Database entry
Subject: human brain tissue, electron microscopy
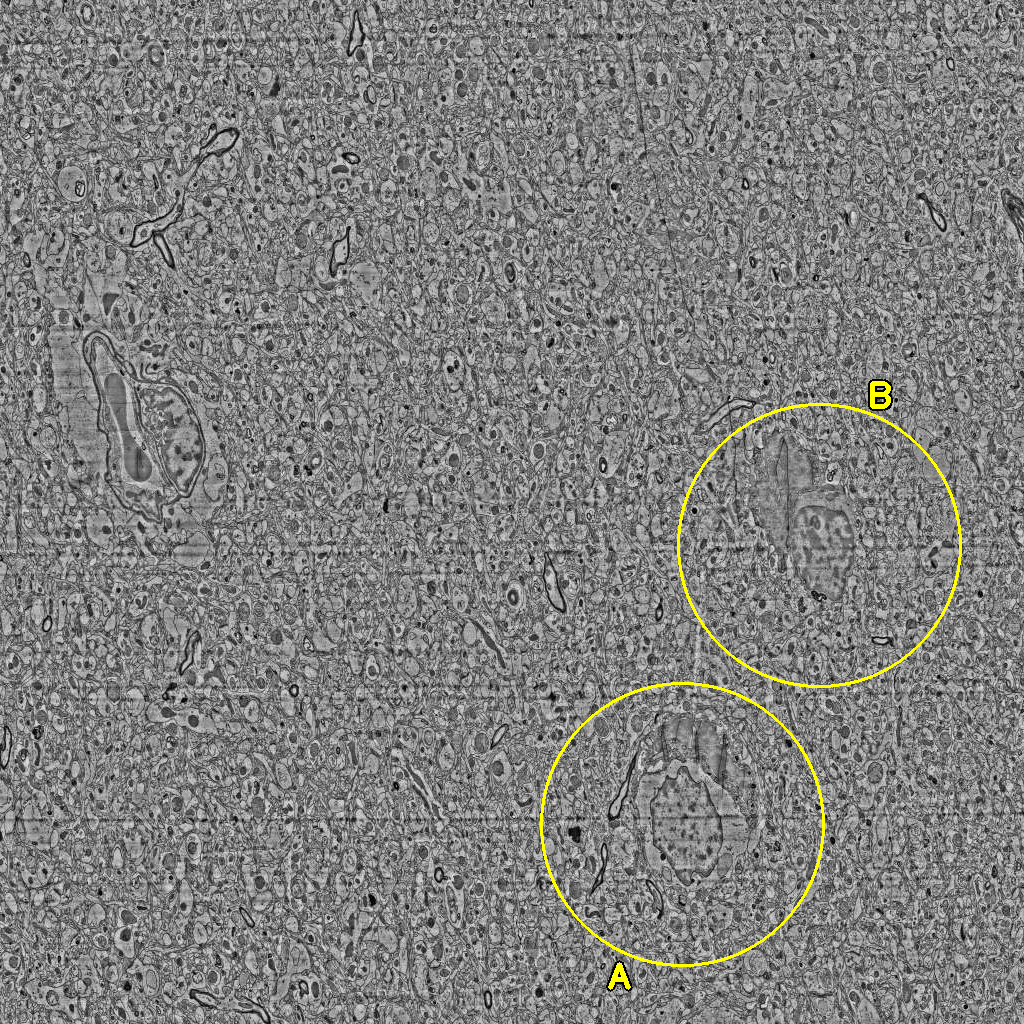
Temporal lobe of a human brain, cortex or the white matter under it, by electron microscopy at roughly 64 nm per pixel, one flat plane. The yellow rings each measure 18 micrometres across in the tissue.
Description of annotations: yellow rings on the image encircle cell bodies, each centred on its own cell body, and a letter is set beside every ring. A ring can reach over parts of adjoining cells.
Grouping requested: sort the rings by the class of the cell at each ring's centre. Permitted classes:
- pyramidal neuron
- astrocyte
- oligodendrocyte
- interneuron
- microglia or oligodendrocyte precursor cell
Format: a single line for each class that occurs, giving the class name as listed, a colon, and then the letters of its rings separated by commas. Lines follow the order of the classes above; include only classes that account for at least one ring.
oligodendrocyte: B
microglia or oligodendrocyte precursor cell: A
